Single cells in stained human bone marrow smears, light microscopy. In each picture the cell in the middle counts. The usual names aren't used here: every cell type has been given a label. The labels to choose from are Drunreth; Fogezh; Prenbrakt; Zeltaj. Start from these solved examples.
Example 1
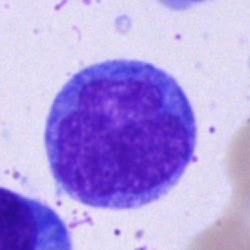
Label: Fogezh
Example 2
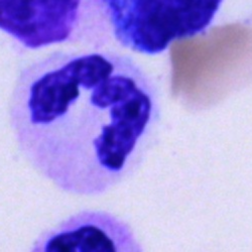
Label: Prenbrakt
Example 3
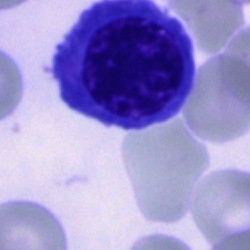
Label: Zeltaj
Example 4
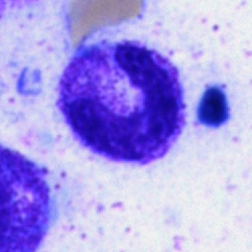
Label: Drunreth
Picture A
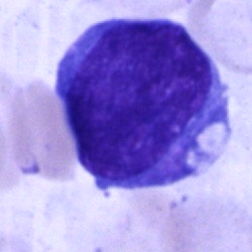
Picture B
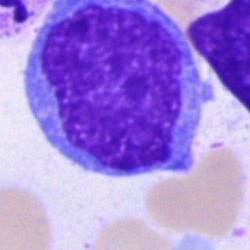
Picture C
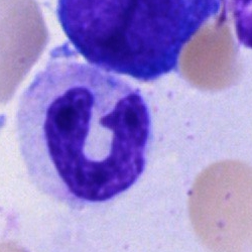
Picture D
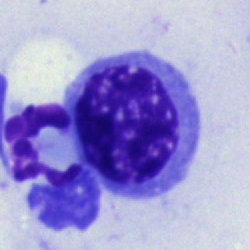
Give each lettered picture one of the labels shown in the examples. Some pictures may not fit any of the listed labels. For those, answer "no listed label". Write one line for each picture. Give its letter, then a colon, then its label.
A: no listed label
B: no listed label
C: Drunreth
D: Zeltaj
